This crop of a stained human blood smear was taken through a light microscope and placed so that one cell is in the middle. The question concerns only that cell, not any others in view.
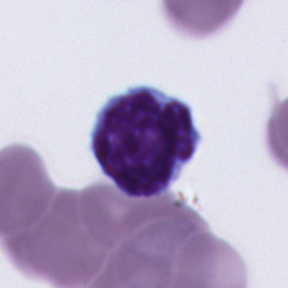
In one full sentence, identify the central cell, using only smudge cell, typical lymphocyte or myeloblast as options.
The cell at the middle of the frame should be recorded as a typical lymphocyte.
